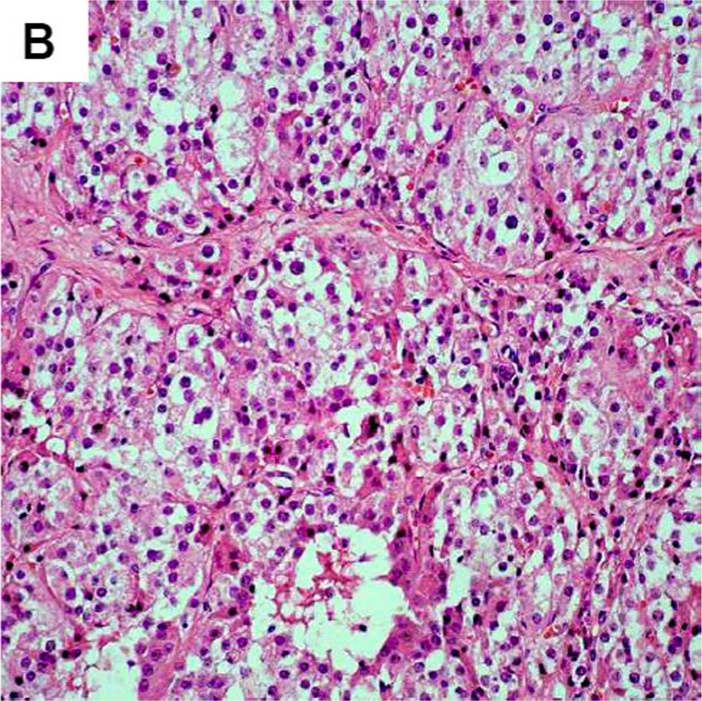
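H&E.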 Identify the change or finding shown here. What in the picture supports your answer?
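Abundant pale cytoplasm. Most tumour cells have wide, clear to finely vacuolated cytoplasm. The cytoplasm stains only faintly pink or is nearly empty around the nuclei.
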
